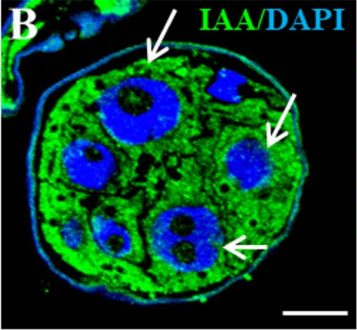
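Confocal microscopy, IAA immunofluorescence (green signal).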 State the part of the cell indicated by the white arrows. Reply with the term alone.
Nuclei.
